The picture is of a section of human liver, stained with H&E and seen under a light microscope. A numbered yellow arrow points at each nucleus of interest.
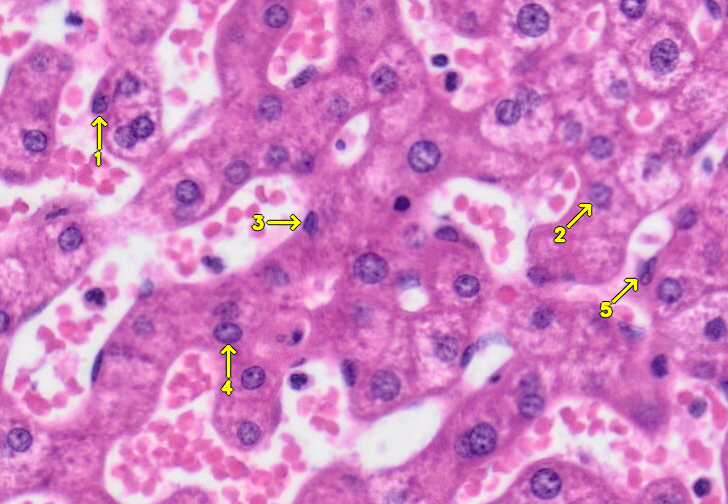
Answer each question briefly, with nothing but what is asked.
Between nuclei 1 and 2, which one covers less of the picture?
1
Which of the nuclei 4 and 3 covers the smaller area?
3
